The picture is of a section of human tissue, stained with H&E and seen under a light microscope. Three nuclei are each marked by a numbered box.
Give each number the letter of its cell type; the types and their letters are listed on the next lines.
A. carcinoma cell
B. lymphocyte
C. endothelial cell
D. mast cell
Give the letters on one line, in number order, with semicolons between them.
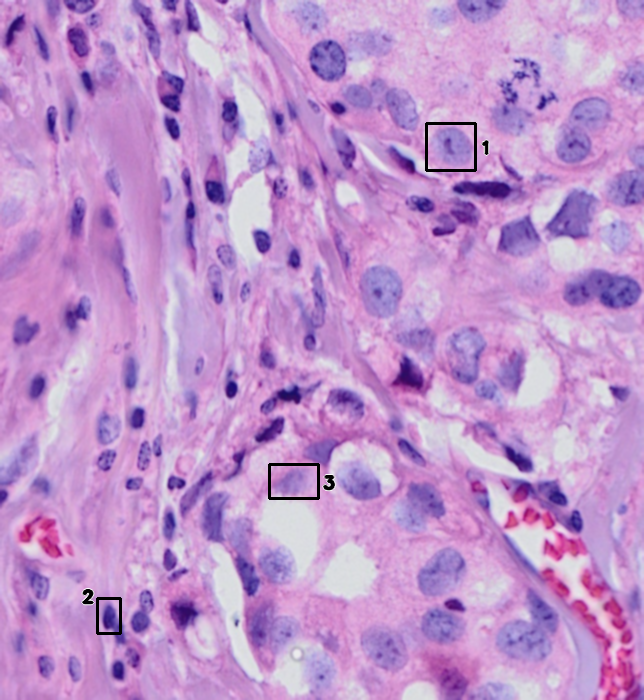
A; B; A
